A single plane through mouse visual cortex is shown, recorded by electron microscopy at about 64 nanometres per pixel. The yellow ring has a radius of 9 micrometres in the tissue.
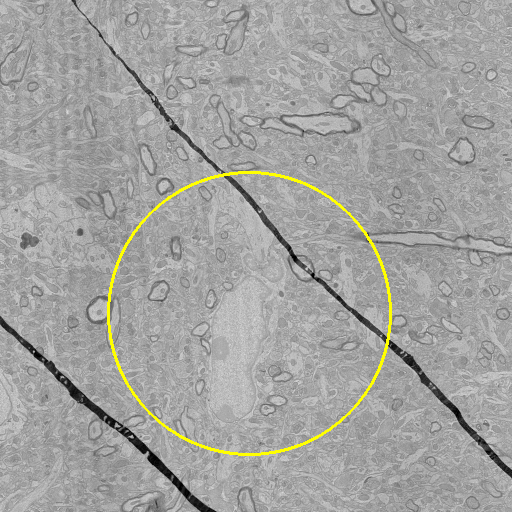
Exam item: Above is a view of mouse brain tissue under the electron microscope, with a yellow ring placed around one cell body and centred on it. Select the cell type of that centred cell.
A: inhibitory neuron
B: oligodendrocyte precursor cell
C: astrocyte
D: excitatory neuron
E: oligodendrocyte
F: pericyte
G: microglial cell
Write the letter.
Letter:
B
